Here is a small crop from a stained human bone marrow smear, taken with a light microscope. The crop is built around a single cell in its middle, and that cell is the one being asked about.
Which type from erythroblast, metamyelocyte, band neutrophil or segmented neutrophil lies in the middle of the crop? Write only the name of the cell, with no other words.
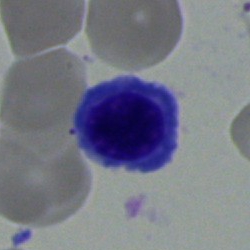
erythroblast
